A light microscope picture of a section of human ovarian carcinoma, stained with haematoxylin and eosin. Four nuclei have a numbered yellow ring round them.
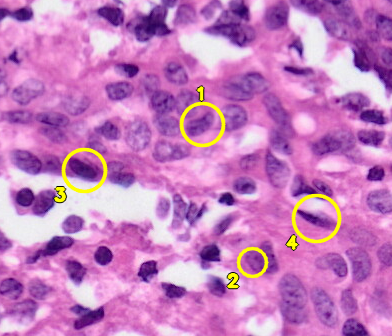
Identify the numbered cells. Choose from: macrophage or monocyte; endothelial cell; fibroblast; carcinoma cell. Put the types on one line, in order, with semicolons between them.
carcinoma cell; carcinoma cell; carcinoma cell; endothelial cell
